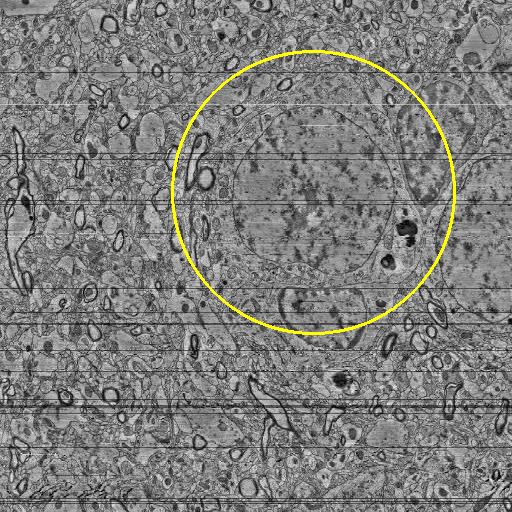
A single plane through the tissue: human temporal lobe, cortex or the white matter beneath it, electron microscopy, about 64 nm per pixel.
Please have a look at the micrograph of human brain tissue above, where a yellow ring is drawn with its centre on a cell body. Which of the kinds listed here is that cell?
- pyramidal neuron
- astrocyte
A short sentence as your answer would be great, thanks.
At the centre of the ring sits a pyramidal neuron.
